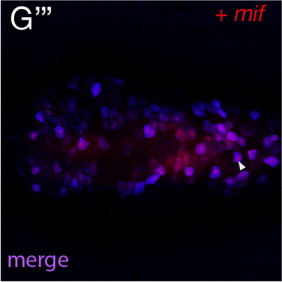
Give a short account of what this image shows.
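Most cells appear as small rounded to irregular bodies, each roughly the size of a single cell, scattered across a broad band of the field. Where the two colours coincide the cells look purple to magenta, and many cells show this overlap. Some cells at the edges remain predominantly blue, while the most intense red-purple cells cluster towards the centre of the field.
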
